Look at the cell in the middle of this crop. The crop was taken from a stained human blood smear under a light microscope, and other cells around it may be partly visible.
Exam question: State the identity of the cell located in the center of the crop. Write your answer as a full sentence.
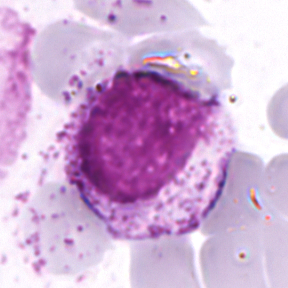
What sits at the centre of this crop is a myelocyte.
